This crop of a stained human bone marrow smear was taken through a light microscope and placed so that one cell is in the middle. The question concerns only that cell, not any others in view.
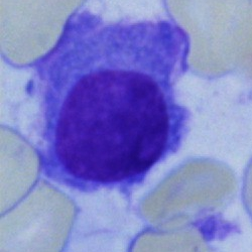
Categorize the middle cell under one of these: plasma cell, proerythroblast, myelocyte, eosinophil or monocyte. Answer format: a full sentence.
The target cell in the middle of the crop is a plasma cell.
